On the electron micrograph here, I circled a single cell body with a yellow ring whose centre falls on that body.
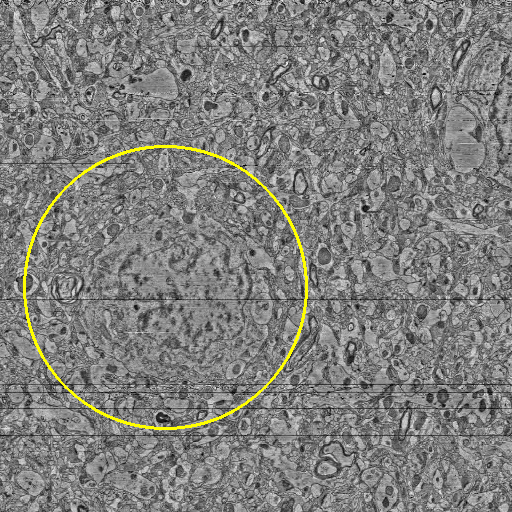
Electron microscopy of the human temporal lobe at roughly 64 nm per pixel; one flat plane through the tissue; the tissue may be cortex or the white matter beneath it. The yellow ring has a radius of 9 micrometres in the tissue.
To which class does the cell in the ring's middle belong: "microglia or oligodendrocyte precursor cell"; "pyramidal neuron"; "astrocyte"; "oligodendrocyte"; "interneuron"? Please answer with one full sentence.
In this picture, the cell body circled at the ring's centre belongs to an interneuron.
